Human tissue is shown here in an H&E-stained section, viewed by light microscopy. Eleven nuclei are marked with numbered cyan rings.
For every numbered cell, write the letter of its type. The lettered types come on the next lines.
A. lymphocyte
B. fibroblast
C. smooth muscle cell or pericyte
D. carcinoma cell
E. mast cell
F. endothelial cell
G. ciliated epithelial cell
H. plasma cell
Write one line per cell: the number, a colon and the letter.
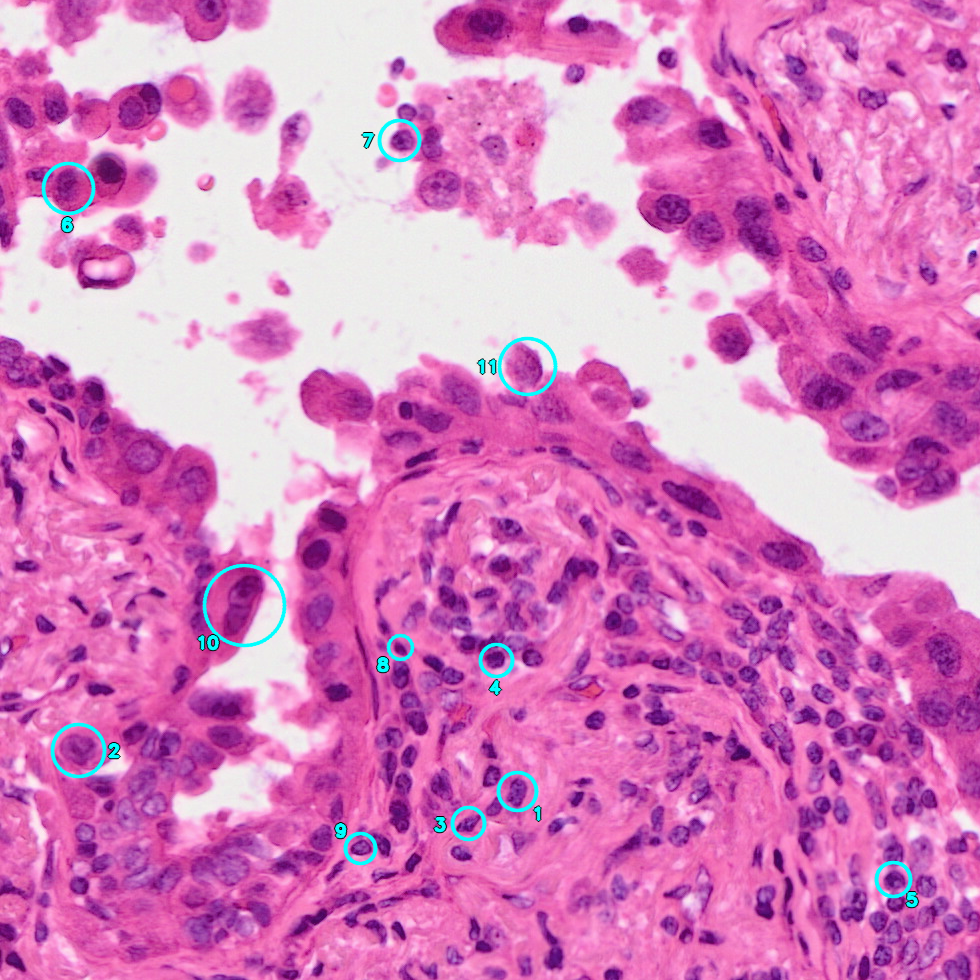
1: H
2: D
3: A
4: A
5: A
6: D
7: A
8: A
9: A
10: D
11: D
